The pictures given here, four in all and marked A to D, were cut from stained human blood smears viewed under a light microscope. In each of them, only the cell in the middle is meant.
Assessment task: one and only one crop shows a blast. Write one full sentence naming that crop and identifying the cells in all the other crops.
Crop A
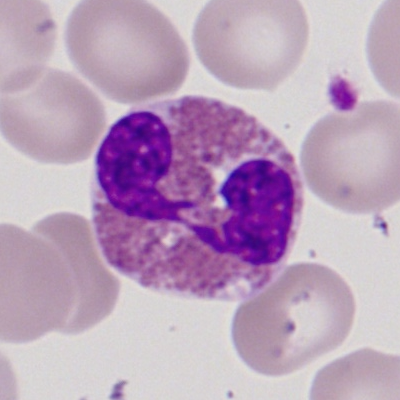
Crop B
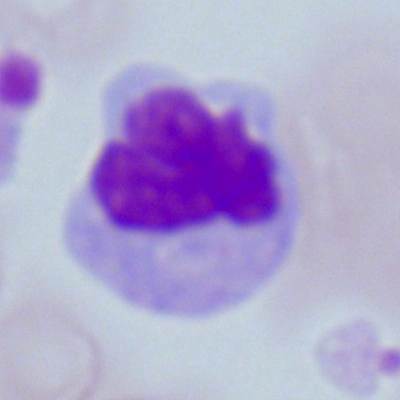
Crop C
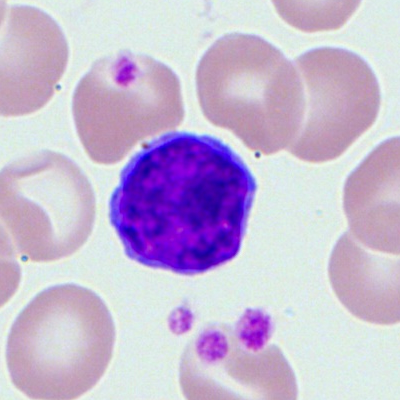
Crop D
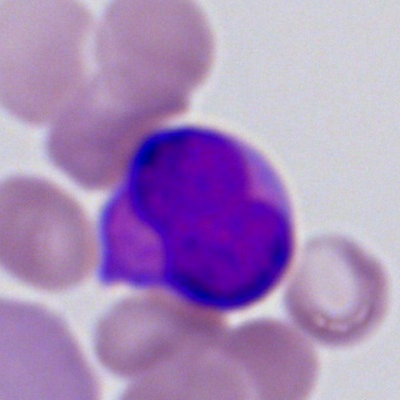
There is a blast in crop D, while crop A is an eosinophil, crop B is a monocyte and crop C is a lymphocyte.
